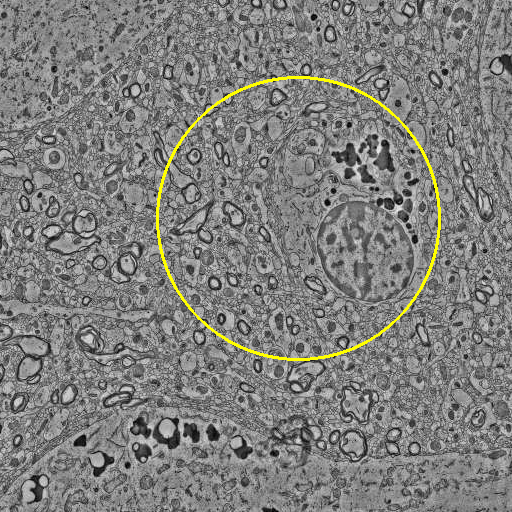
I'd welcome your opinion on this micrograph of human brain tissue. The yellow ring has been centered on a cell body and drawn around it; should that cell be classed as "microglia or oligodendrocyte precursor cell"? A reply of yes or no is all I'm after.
no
